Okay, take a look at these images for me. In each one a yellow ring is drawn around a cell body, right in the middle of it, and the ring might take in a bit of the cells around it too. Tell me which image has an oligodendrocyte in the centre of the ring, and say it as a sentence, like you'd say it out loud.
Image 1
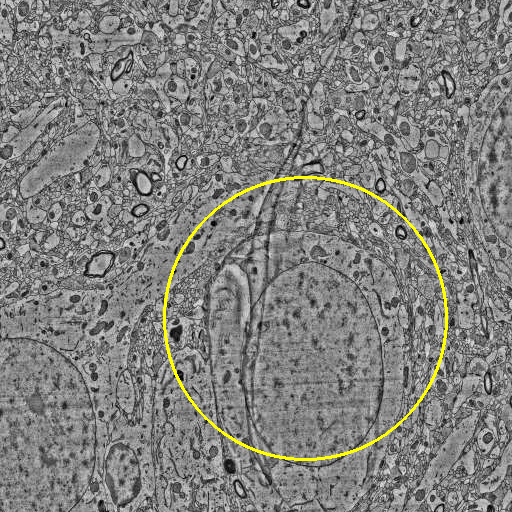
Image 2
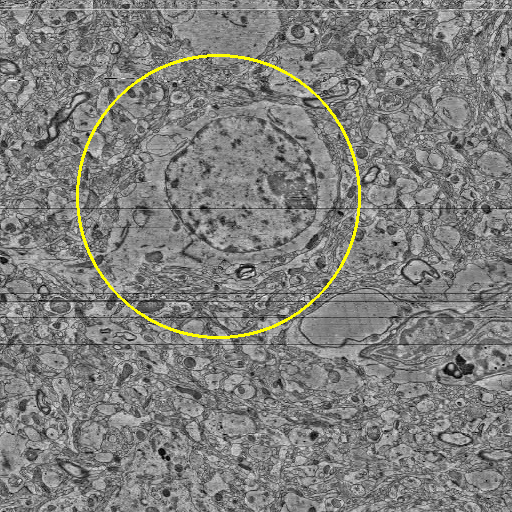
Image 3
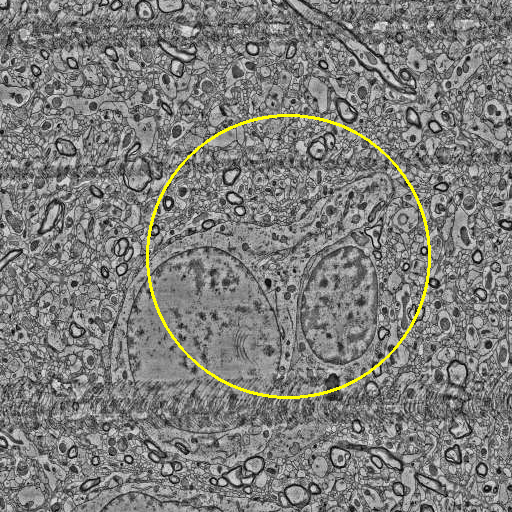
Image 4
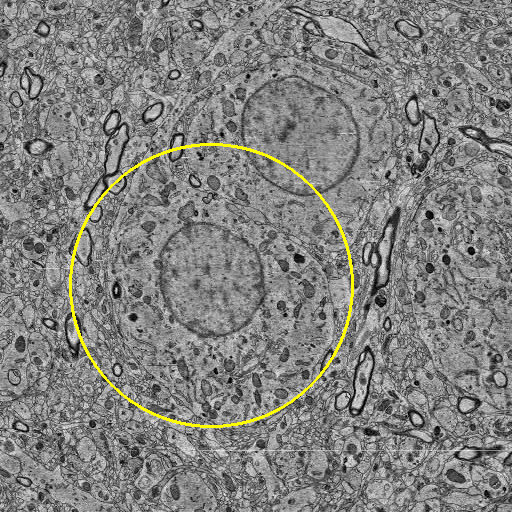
Image 3 is the one with it in the centre of the ring.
